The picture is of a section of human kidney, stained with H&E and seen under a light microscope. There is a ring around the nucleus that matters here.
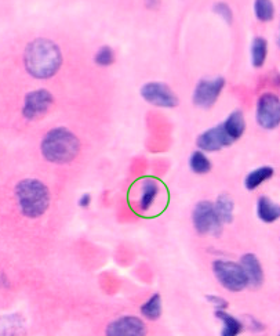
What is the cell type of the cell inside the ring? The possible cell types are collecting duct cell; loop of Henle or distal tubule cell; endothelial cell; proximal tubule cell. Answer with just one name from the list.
endothelial cell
